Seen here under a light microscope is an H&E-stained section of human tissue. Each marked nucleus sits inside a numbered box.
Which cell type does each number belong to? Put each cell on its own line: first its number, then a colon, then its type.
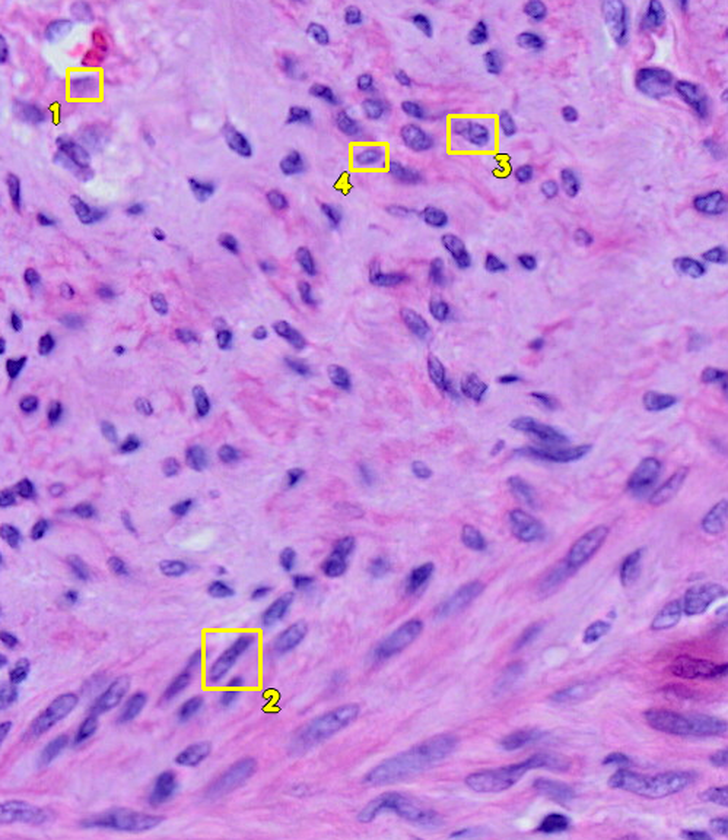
1: endothelial cell
2: smooth muscle cell
3: smooth muscle cell
4: smooth muscle cell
